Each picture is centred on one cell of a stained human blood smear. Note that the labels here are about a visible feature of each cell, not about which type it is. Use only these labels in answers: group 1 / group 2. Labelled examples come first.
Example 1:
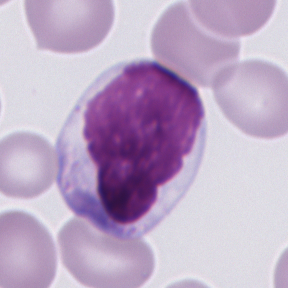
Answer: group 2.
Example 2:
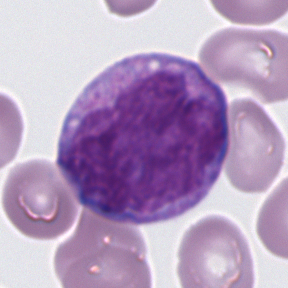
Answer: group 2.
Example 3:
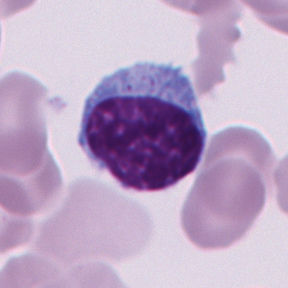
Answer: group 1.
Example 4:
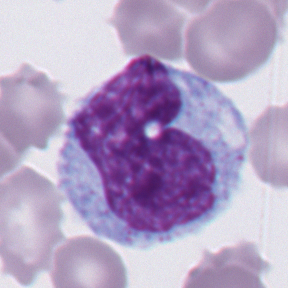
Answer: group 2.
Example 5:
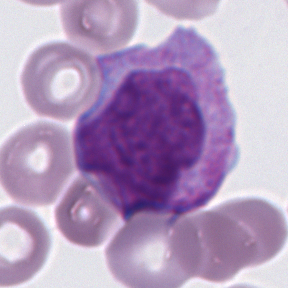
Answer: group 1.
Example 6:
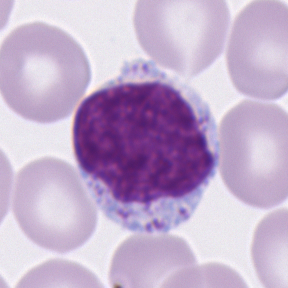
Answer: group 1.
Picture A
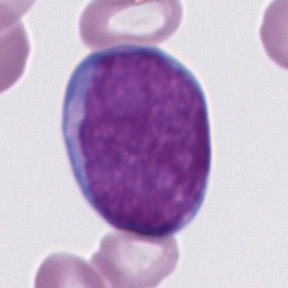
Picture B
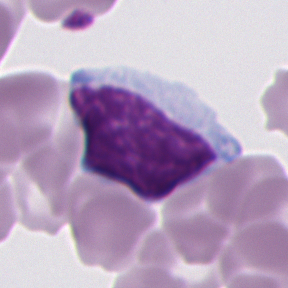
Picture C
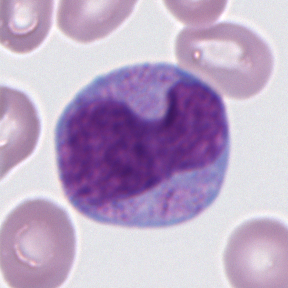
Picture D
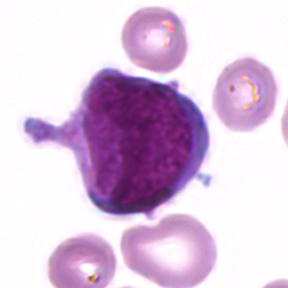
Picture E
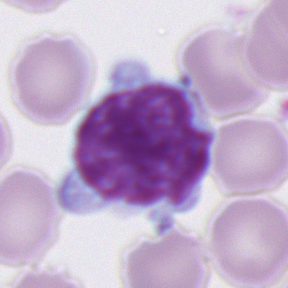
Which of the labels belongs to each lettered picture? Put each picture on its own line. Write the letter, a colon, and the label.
A: group 2.
B: group 1.
C: group 2.
D: group 1.
E: group 1.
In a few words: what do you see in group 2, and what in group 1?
group 2: smooth outline; group 1: ragged outline or projections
